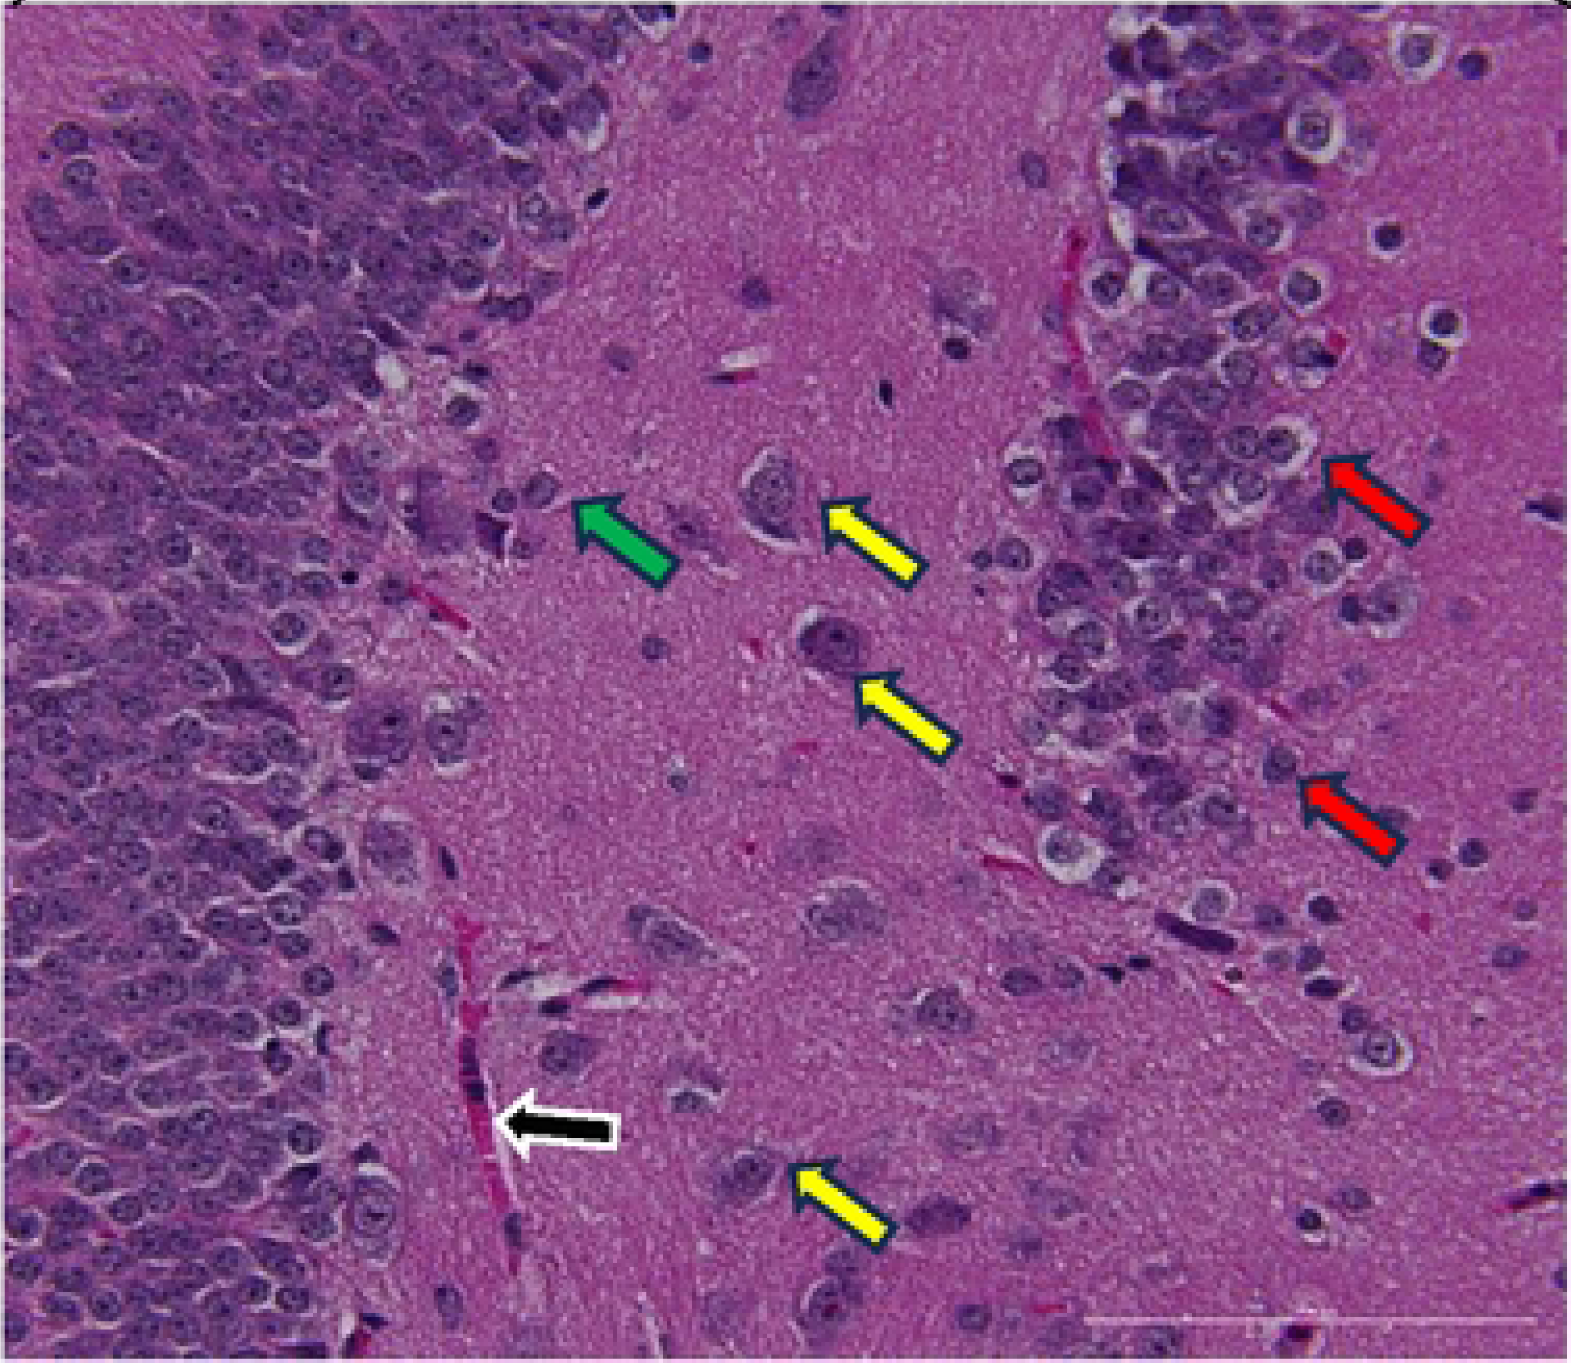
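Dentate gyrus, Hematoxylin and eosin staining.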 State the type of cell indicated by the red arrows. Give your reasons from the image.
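The arrows point to closely packed round cells in a layer. Several of these cells have a clear halo around the nucleus. The answer: granular cells.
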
